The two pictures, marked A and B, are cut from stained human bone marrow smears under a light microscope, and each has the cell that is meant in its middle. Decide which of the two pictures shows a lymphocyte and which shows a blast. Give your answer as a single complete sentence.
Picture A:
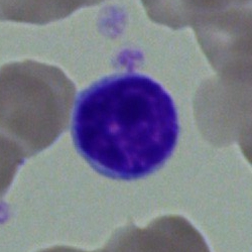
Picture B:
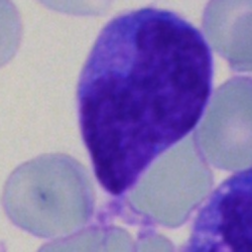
Picture B shows a blast, while picture A shows a lymphocyte.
